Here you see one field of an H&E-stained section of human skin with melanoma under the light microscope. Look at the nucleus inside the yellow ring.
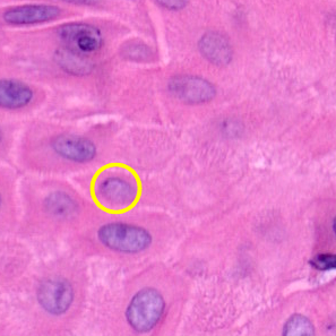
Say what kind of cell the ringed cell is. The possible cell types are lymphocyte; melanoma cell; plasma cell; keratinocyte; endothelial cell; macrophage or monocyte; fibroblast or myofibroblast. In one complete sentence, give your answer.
In this field of tissue, the ringed cell is a keratinocyte.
